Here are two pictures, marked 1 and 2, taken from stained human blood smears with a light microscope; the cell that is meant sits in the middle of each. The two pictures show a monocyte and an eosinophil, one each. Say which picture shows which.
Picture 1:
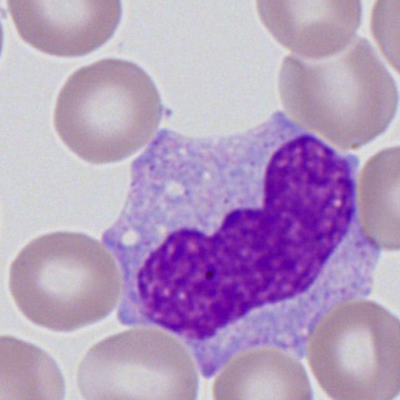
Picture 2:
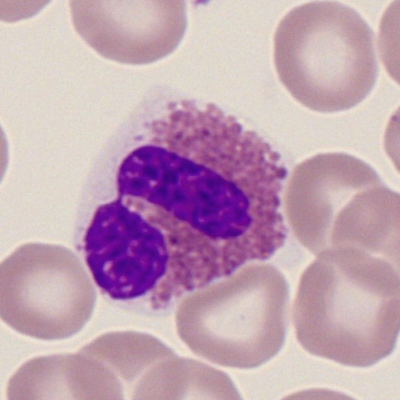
1: monocyte
2: eosinophil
